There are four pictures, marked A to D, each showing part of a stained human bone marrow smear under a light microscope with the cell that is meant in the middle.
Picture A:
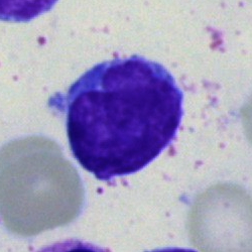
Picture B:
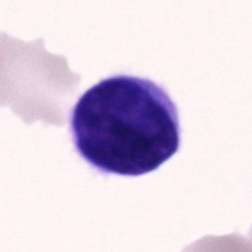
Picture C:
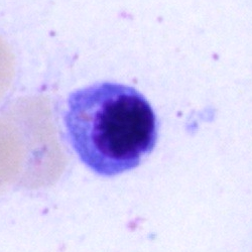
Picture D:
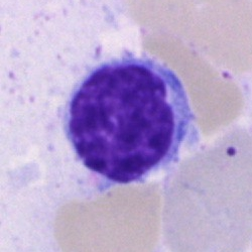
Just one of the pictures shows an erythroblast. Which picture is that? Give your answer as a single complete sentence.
The cell in picture C is the erythroblast.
